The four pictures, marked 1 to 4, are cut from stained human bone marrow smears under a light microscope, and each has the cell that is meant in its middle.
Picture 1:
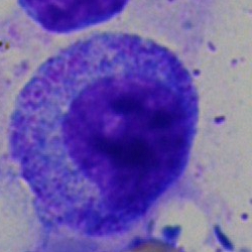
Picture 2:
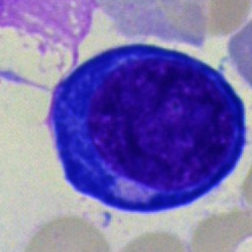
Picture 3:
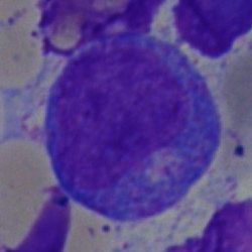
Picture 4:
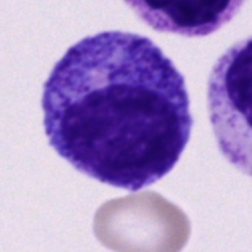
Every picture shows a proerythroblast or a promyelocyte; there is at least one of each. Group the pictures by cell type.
1: promyelocyte
2: proerythroblast
3: promyelocyte
4: promyelocyte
